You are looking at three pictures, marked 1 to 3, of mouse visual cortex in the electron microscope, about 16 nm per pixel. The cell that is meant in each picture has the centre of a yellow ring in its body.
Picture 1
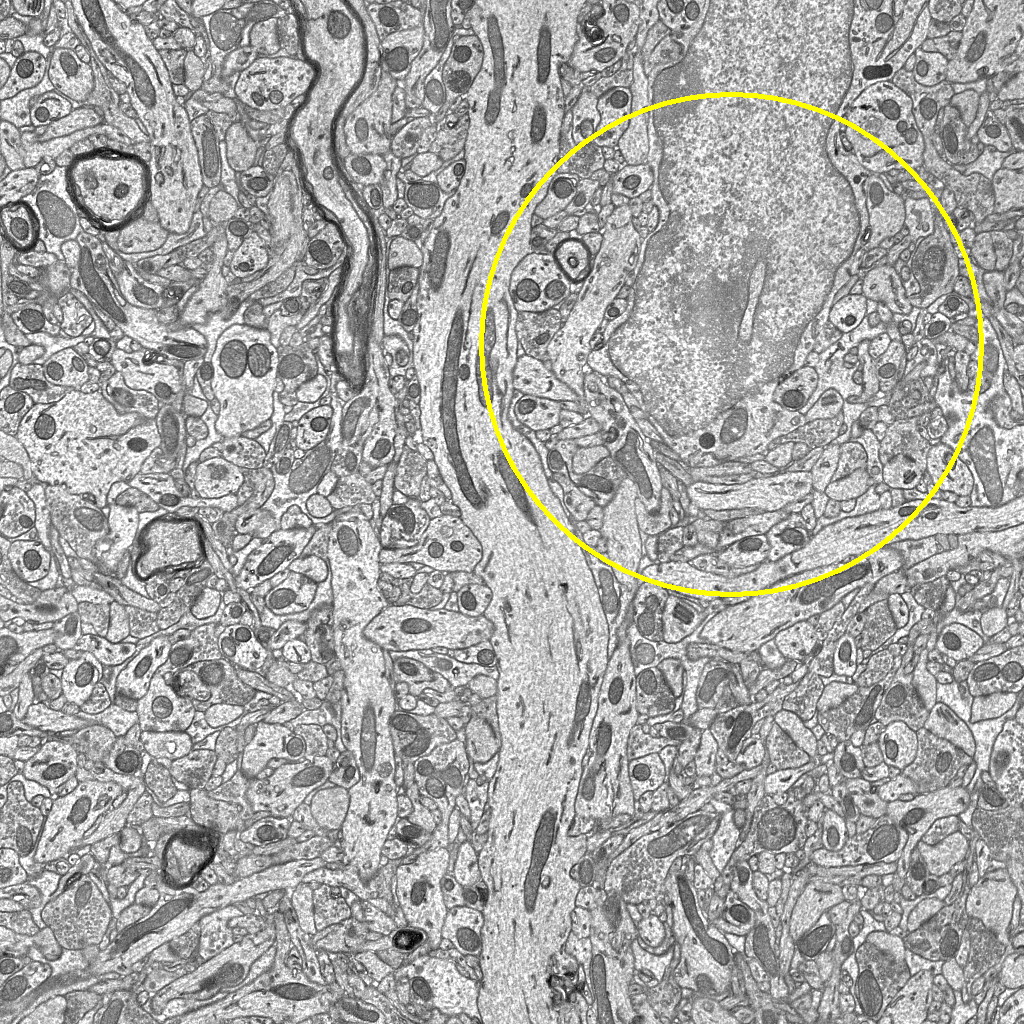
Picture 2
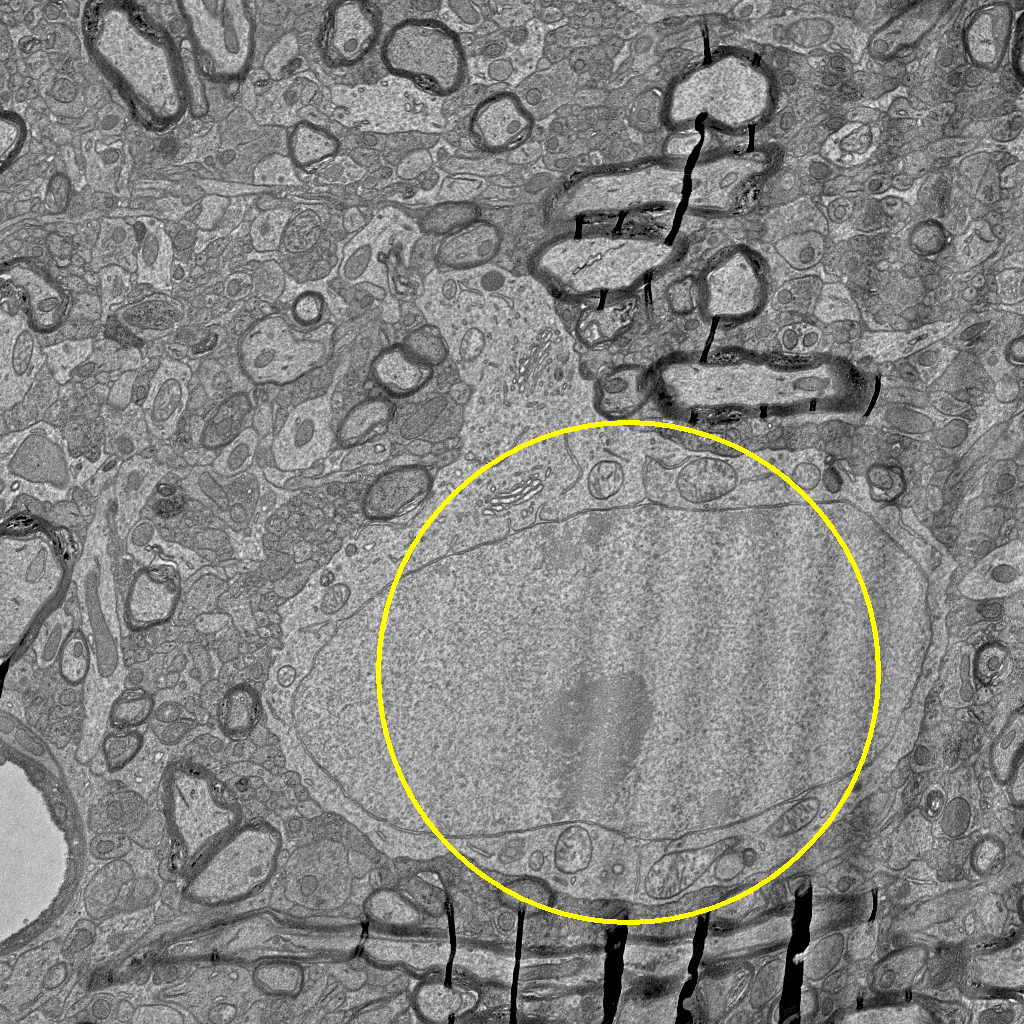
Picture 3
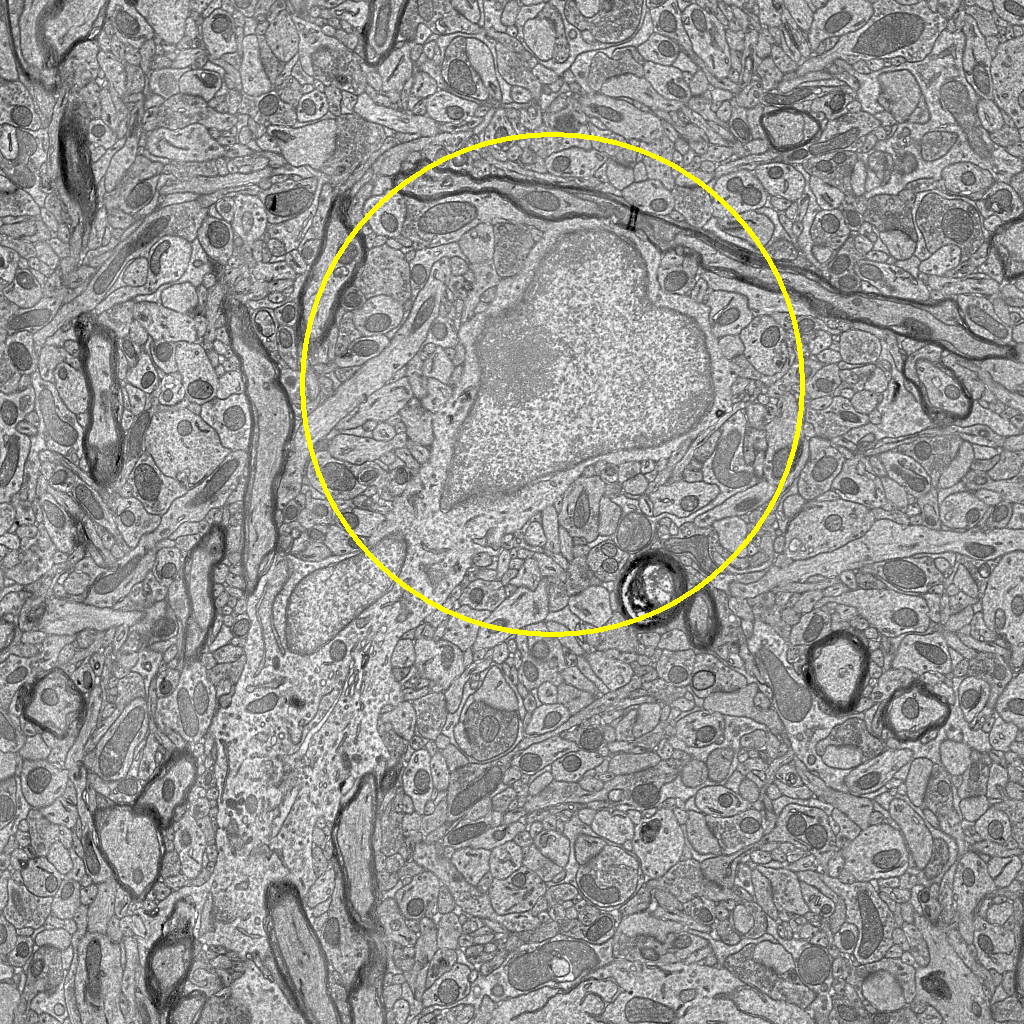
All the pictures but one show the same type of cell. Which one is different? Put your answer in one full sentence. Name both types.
The different one is picture 2; it shows an excitatory neuron, whereas all the others show oligodendrocyte precursor cells.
